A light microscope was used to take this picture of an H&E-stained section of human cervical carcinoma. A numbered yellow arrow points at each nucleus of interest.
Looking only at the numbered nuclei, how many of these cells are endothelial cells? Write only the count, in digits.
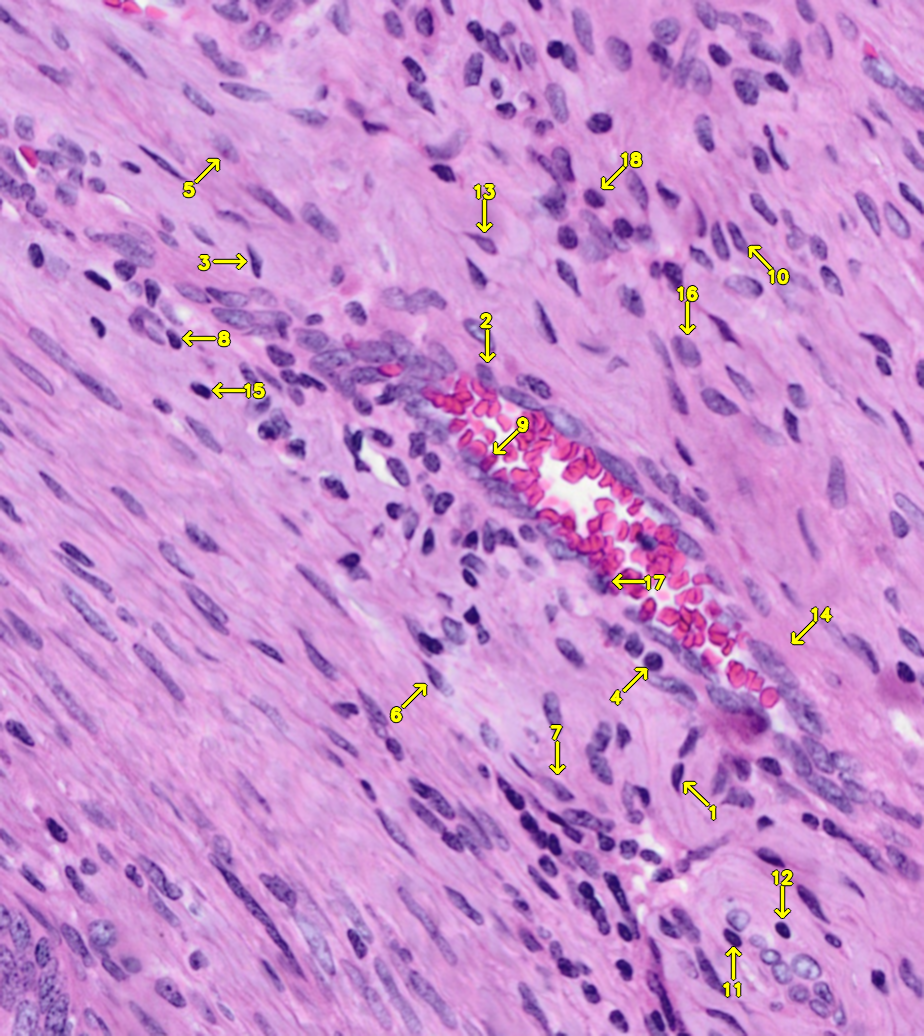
4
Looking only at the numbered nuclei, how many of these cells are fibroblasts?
7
